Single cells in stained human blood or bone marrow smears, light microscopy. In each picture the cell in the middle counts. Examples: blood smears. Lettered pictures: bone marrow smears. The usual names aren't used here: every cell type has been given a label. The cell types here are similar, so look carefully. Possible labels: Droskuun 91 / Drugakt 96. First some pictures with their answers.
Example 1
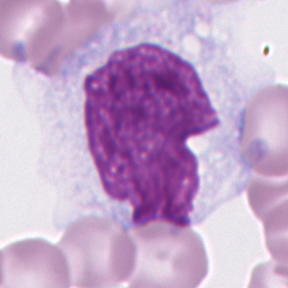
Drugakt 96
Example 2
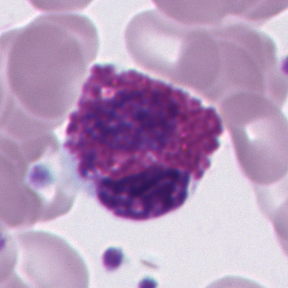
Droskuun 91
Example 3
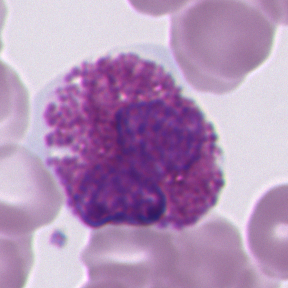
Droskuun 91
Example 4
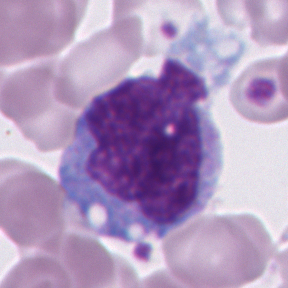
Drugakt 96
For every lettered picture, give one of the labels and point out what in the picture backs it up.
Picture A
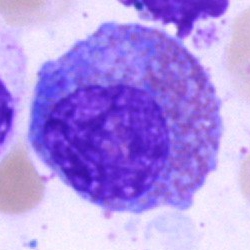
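Label: Droskuun 91. The cytoplasm is abundant, forming a wide band above and to the right of the nucleus.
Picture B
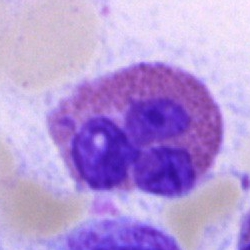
Label: Droskuun 91. The cytoplasm is abundant and pinkish-purple.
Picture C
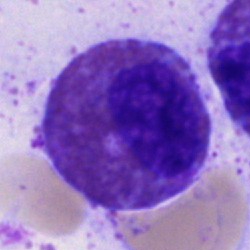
Label: Droskuun 91. The cytoplasm is plentiful and stains a deep blue-purple.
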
